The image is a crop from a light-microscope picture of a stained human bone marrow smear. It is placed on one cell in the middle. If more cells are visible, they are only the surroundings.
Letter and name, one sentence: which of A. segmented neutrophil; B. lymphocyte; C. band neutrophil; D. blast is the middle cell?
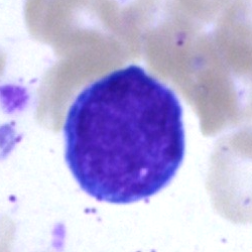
The correct identification, given in option B, is that the central cell is a lymphocyte.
